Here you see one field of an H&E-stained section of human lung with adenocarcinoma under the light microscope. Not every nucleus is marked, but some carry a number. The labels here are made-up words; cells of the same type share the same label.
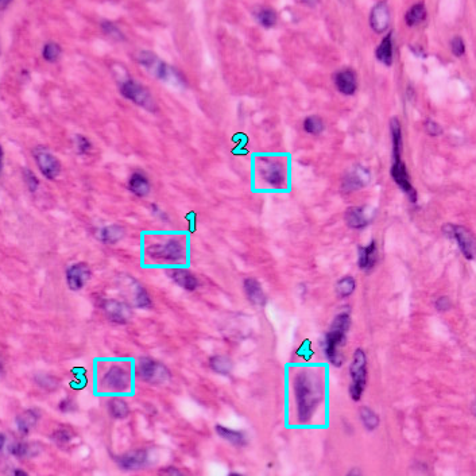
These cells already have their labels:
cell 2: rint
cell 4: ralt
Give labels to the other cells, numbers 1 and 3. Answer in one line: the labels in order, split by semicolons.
rint; rint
